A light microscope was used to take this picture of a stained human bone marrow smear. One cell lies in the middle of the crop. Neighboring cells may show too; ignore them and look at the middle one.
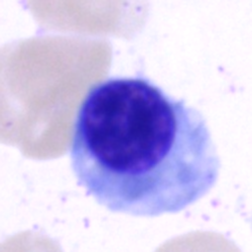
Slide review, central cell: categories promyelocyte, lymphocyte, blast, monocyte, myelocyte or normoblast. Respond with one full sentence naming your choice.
The middle of this crop holds a normoblast.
